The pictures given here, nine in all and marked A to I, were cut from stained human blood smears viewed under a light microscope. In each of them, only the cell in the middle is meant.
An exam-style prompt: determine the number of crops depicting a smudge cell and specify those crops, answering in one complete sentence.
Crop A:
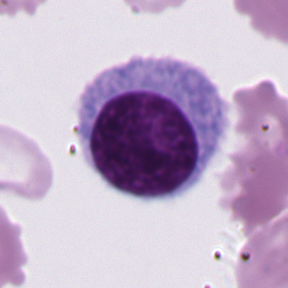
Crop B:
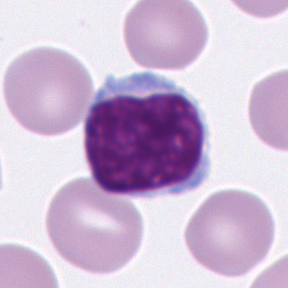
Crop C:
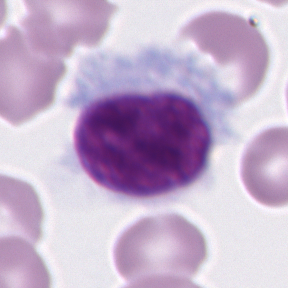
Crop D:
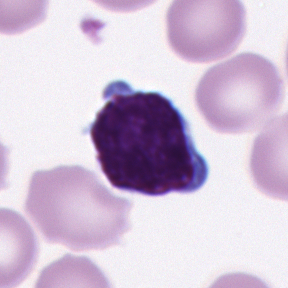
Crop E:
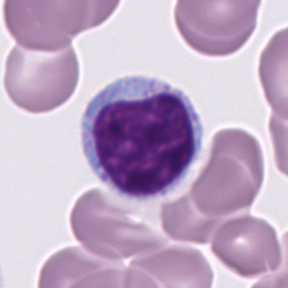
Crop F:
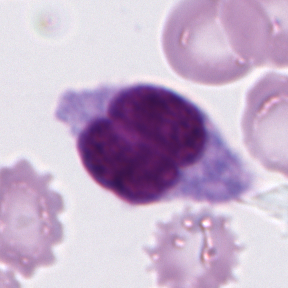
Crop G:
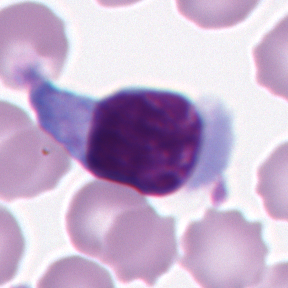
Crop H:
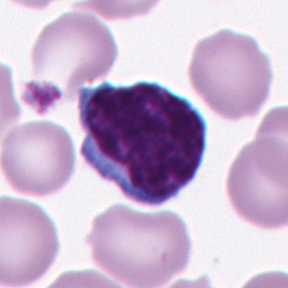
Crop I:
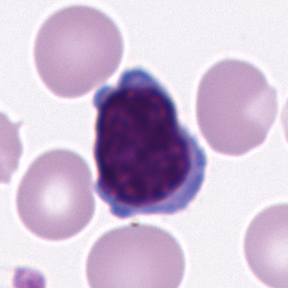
So far as smudge cells go, the crops show none, and the count is zero.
